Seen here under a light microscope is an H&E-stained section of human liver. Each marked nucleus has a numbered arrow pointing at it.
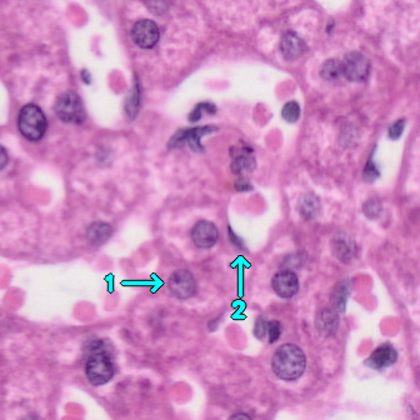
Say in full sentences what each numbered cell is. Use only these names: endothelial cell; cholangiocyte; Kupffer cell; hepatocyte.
Cell 1 is a hepatocyte. Cell 2 is an endothelial cell.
